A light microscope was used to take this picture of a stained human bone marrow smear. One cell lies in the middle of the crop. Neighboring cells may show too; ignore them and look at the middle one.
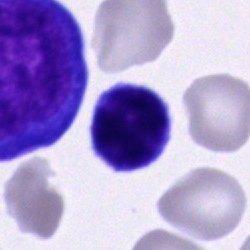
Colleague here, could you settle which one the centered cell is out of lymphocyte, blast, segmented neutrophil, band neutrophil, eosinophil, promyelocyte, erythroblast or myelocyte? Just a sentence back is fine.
In this smear crop, the middle cell is a lymphocyte.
